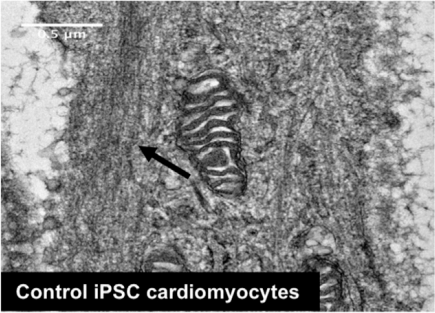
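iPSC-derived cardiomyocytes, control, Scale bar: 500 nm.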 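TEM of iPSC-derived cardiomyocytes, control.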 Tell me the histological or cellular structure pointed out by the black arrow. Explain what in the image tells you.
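Nascent sarcomeres. The arrow points to bundles of fine parallel filaments running lengthwise through the cytoplasm. The filament bundles lie beside a mitochondrion.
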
